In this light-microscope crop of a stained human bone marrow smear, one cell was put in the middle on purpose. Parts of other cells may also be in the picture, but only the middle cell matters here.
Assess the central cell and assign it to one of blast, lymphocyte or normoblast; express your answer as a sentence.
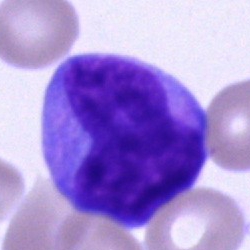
By classification, the middle cell of this crop is a blast.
